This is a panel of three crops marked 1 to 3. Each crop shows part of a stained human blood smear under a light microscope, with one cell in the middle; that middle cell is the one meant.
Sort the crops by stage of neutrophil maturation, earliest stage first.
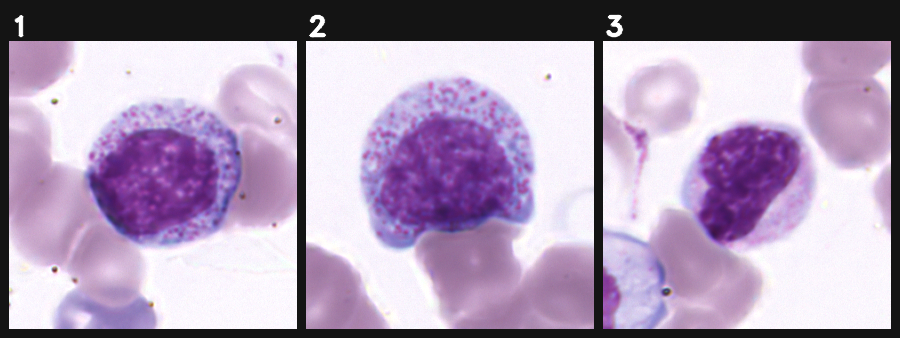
2, 1, 3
